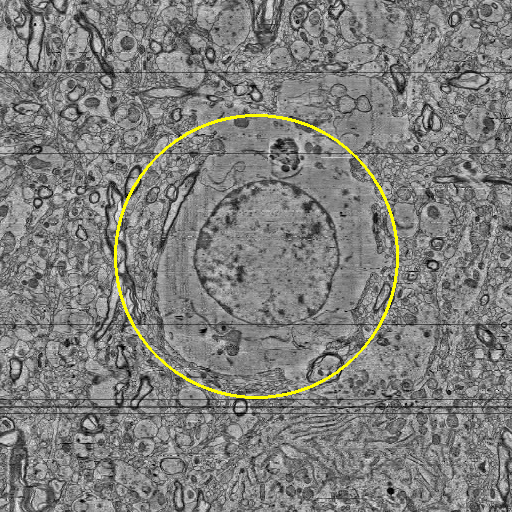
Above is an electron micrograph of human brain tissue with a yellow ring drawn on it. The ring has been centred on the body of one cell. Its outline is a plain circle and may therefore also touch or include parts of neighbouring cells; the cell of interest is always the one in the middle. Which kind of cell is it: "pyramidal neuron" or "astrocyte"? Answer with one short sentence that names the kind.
The ring's central cell body is that of an astrocyte.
